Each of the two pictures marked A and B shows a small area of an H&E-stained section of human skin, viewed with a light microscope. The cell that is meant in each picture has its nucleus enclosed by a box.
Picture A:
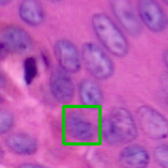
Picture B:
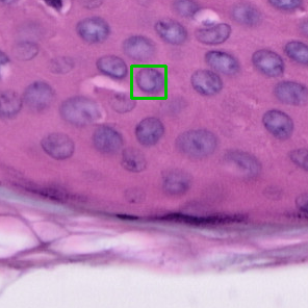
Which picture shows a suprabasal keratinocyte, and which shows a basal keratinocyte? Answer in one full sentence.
It is picture A that shows a basal keratinocyte, and picture B that shows a suprabasal keratinocyte.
